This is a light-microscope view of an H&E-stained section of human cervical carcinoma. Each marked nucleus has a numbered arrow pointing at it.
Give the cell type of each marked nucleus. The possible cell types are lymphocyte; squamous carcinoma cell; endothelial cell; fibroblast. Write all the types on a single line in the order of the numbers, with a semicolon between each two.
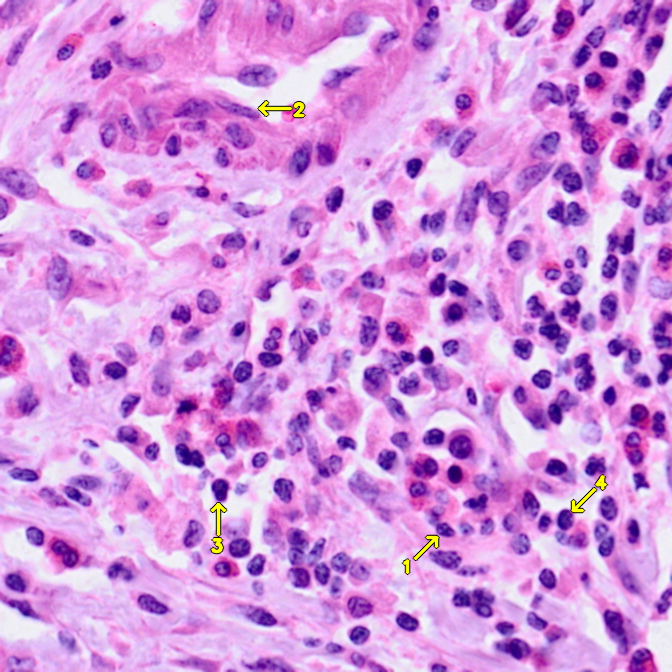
lymphocyte; endothelial cell; lymphocyte; lymphocyte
